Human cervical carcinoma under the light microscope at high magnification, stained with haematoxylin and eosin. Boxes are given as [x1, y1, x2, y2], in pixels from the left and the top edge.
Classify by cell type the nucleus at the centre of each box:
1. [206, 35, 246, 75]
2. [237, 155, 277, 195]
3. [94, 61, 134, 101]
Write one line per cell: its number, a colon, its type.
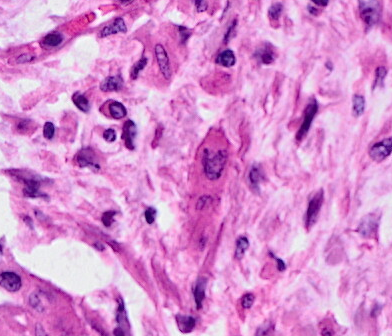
1: lymphocyte
2: fibroblast
3: macrophage or monocyte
